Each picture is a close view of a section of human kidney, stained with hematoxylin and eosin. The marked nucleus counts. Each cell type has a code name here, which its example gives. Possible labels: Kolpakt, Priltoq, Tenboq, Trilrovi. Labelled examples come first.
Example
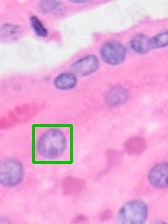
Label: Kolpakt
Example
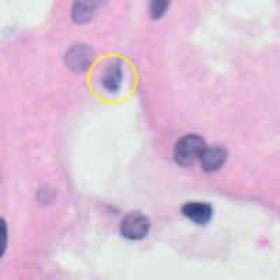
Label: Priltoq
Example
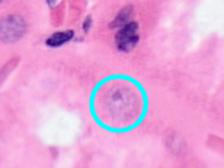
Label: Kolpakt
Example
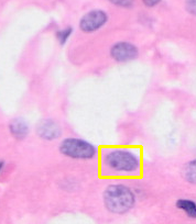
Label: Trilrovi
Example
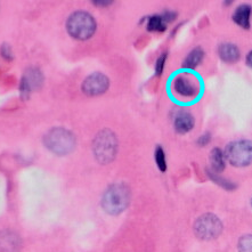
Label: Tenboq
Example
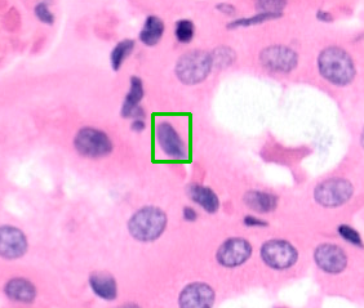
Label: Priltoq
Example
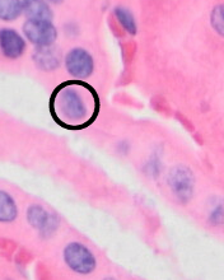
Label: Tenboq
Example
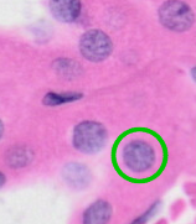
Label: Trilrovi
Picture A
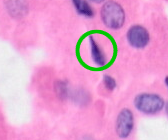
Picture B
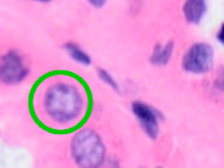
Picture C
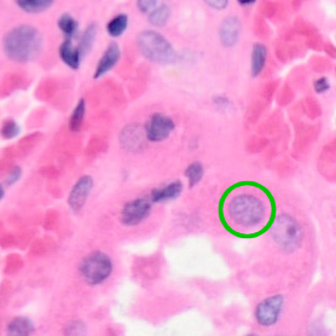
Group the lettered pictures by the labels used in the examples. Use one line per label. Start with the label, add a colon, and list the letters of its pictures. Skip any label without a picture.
Kolpakt: B, C
Priltoq: A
